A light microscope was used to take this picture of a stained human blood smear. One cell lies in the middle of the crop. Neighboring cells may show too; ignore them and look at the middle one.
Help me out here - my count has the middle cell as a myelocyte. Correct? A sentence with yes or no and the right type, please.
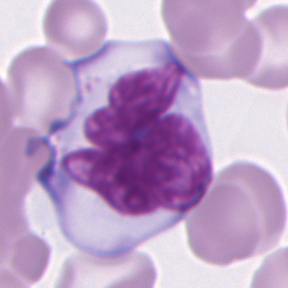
No, not a myelocyte here; the centered cell is a large granular lymphocyte.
